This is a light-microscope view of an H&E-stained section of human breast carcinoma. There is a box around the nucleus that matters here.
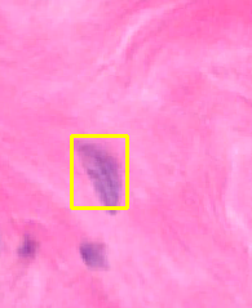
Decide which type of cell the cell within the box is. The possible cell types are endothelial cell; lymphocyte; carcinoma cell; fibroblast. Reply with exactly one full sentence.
In this preparation, the cell within the box is a fibroblast.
